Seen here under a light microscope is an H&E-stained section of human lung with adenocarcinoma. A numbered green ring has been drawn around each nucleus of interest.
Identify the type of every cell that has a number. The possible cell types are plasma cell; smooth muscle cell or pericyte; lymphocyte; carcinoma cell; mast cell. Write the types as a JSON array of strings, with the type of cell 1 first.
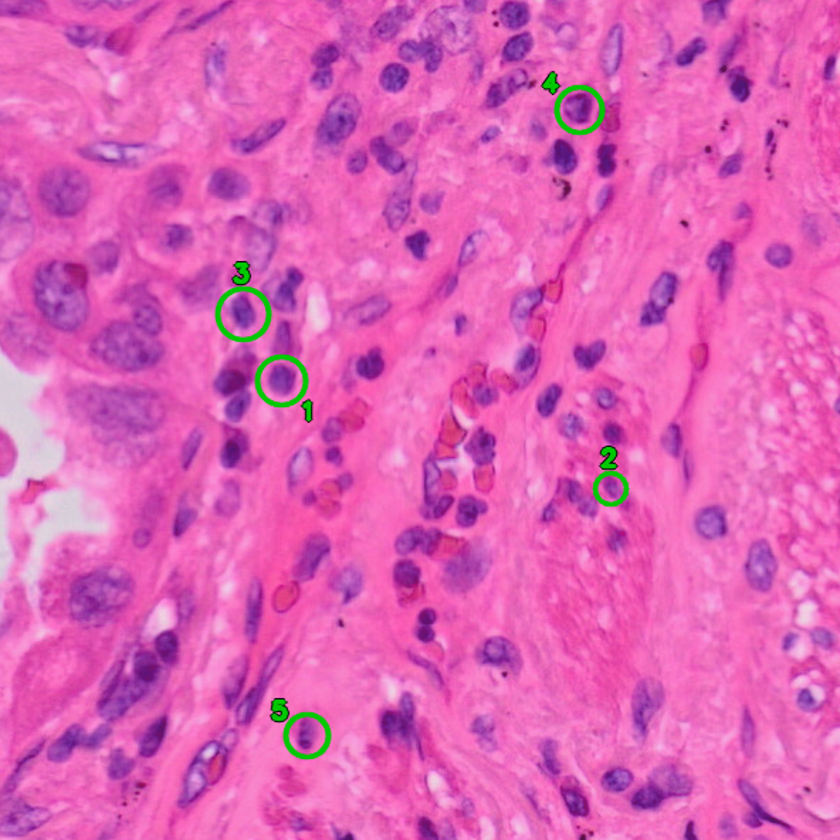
["lymphocyte", "smooth muscle cell or pericyte", "lymphocyte", "plasma cell", "mast cell"]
